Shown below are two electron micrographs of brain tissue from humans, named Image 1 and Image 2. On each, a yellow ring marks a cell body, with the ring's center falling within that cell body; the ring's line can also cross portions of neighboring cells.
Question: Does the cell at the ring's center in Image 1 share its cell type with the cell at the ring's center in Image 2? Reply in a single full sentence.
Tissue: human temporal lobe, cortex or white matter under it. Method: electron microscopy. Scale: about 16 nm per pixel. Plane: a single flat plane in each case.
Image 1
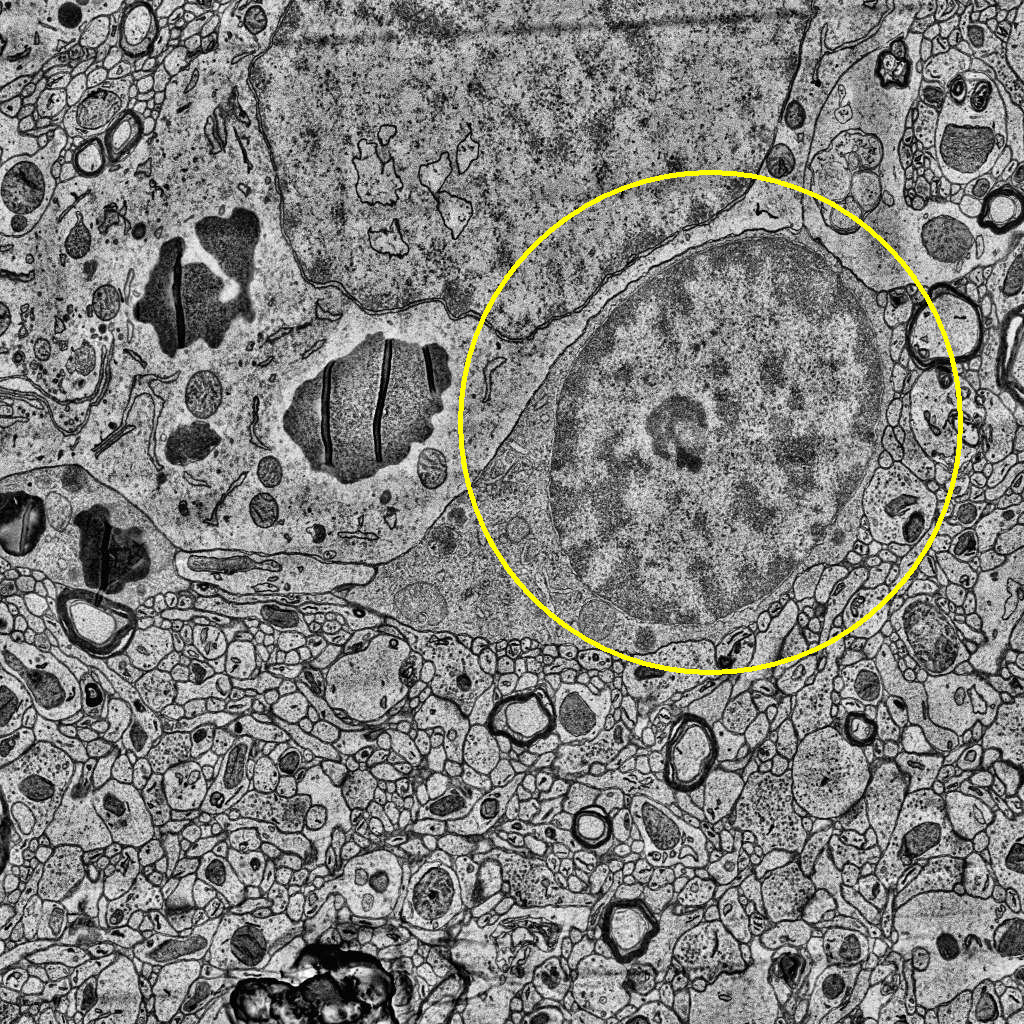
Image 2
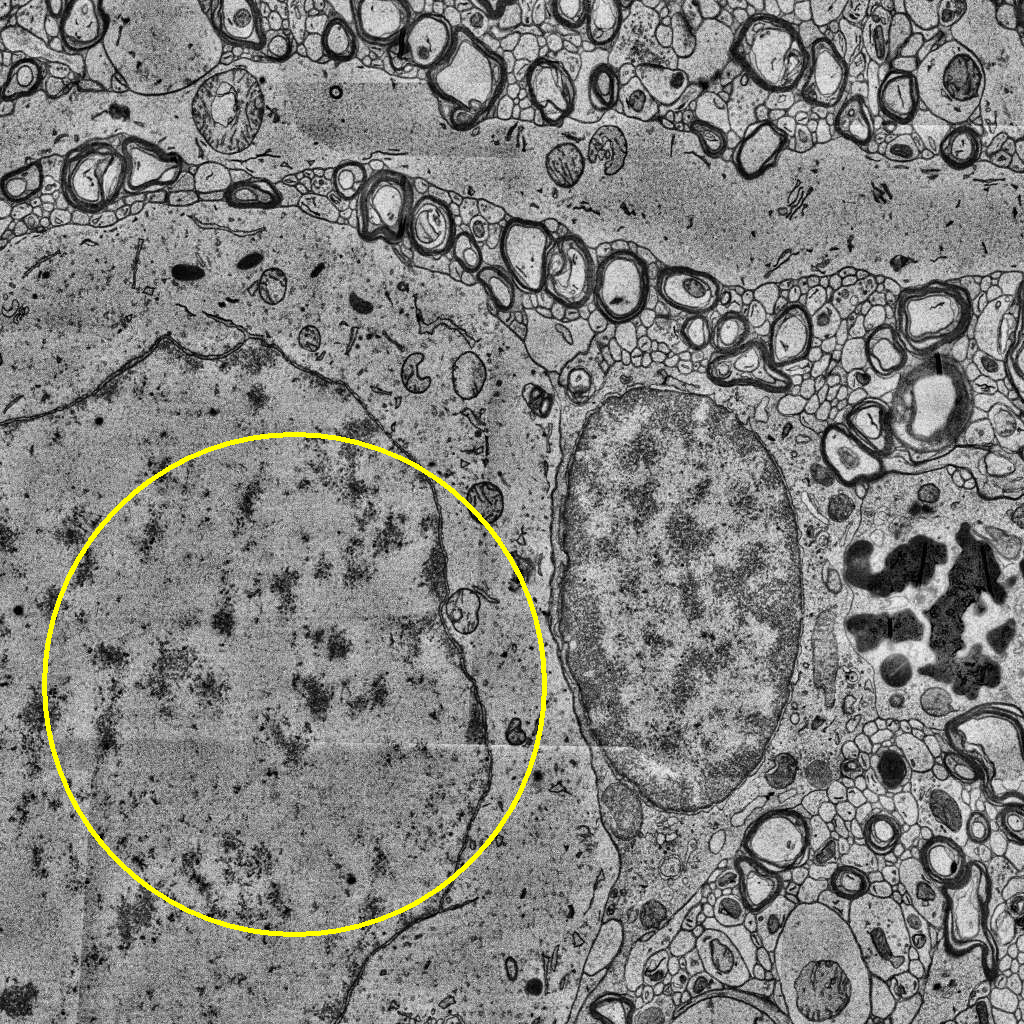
No, the two cells at the ring centers, in Image 1 and Image 2, are of two cell types.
